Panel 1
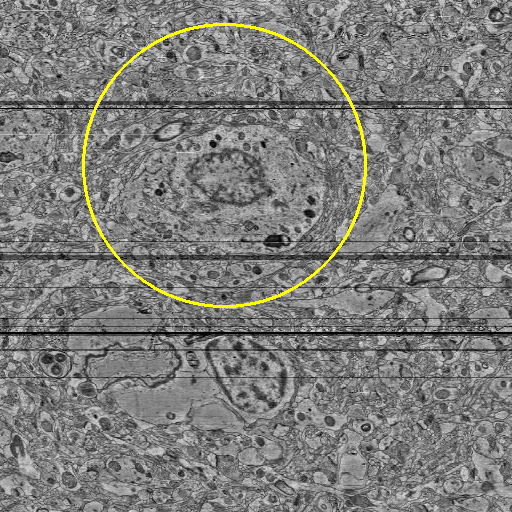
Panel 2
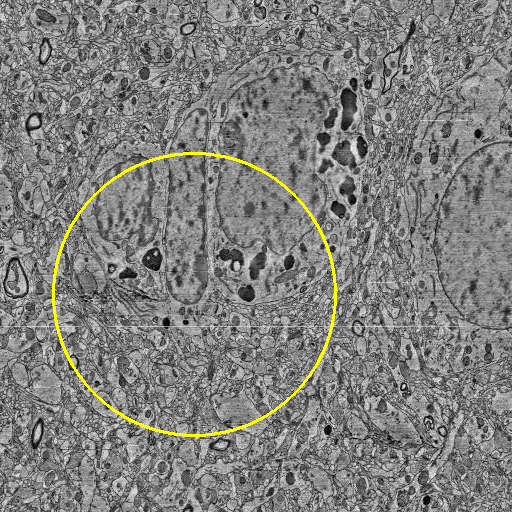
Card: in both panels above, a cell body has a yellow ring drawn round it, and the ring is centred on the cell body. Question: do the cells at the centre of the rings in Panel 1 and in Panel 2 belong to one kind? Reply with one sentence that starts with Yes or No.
No, the cells centred in the rings of Panel 1 and Panel 2 are two kinds of cell.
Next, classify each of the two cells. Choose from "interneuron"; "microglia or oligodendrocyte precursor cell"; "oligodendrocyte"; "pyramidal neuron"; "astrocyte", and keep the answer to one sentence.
In the first picture it is a pyramidal neuron; in the second it is a microglial cell or oligodendrocyte precursor cell.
